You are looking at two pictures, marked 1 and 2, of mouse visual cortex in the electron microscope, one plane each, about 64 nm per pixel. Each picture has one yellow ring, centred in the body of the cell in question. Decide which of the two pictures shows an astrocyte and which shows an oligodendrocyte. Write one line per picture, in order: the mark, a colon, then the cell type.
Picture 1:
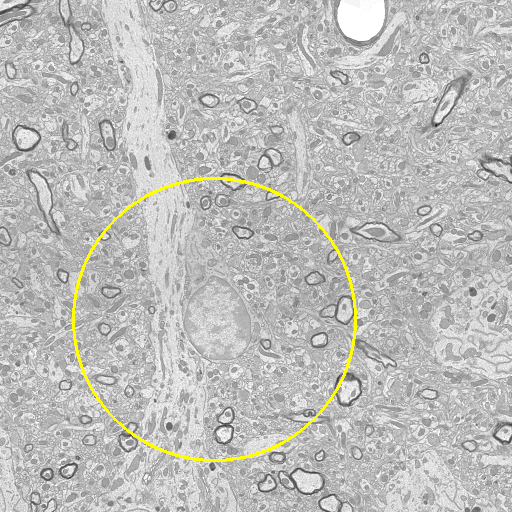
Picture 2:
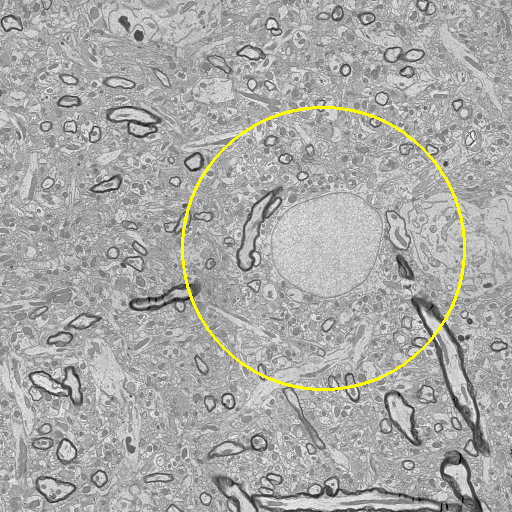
1: oligodendrocyte
2: astrocyte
